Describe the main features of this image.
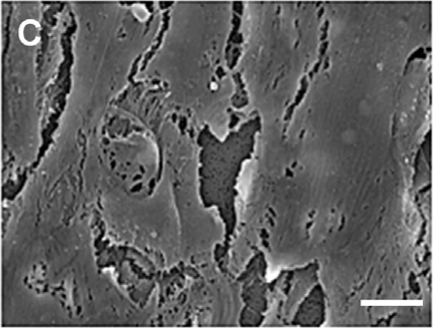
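Flattened cells spread widely over a porous support, their thin bodies forming broad overlapping sheets. Irregular dark gaps between cell margins expose the underlying membrane, which shows numerous small round pores. The cell edges at these gaps are ragged, with short fine extensions reaching across the openings.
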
